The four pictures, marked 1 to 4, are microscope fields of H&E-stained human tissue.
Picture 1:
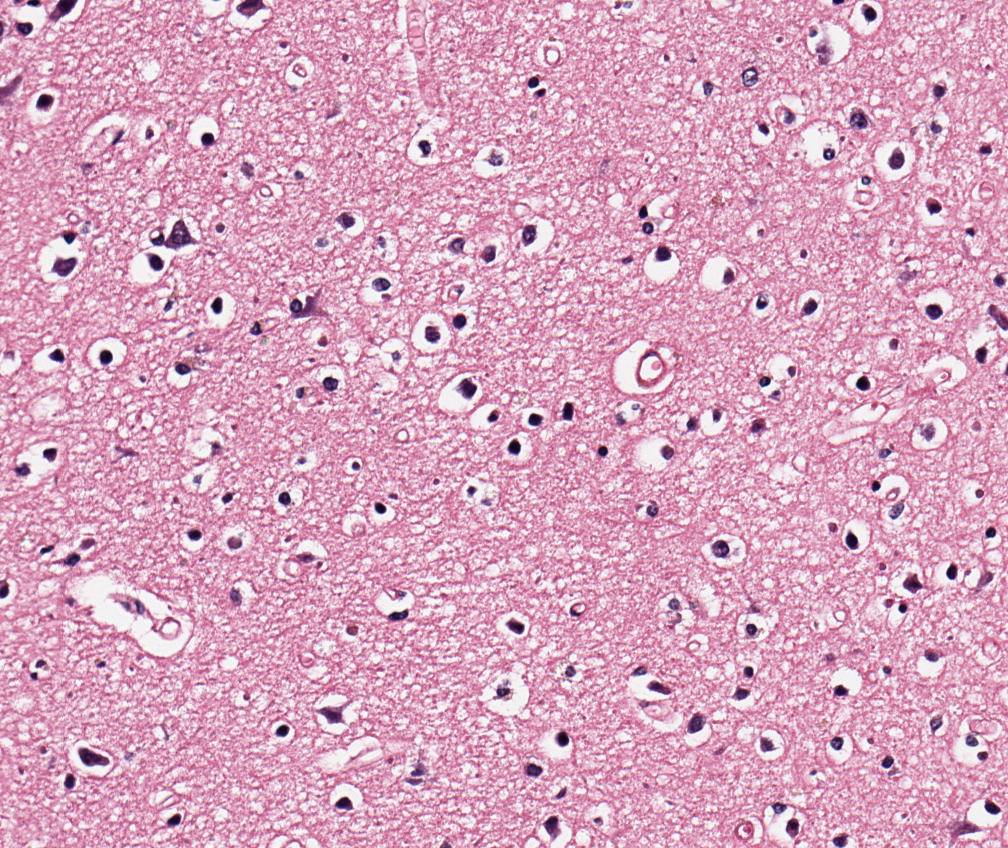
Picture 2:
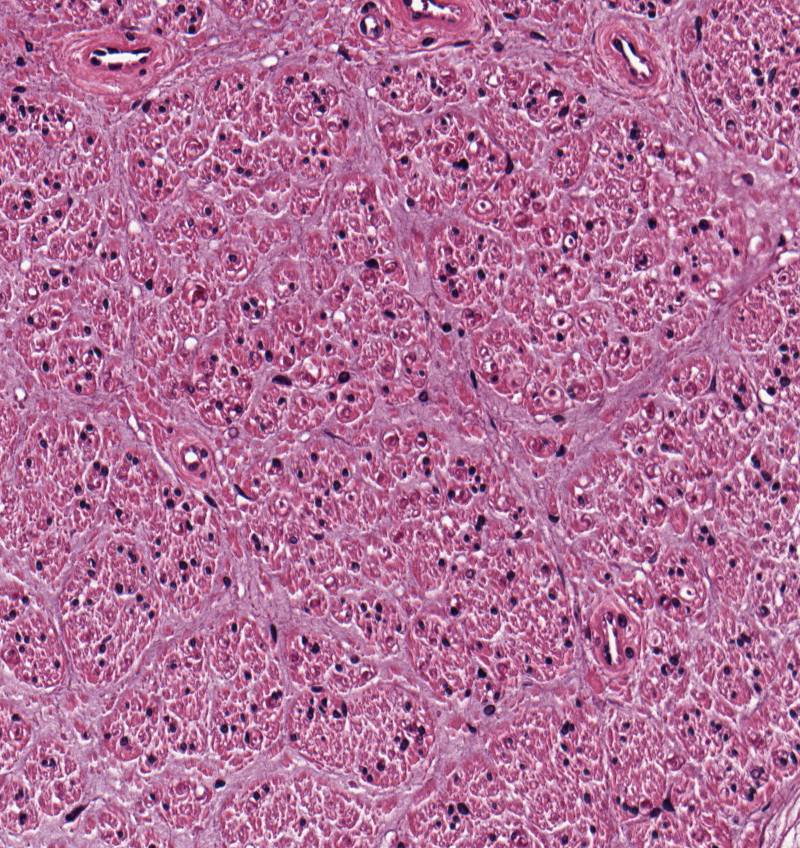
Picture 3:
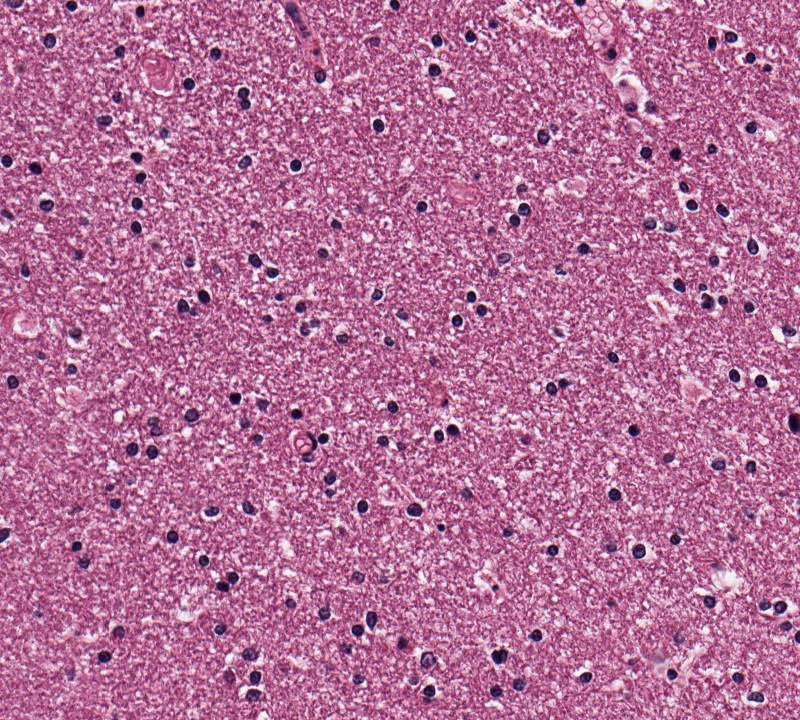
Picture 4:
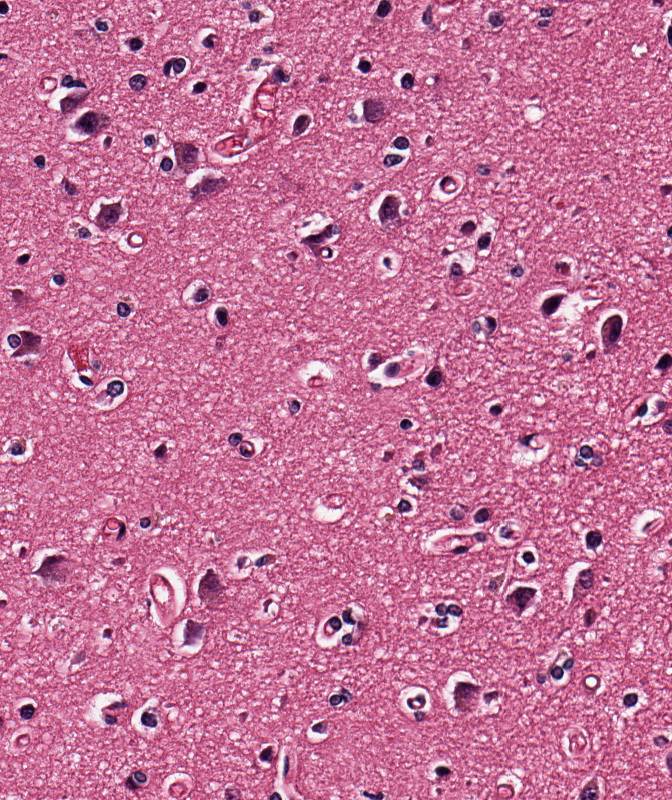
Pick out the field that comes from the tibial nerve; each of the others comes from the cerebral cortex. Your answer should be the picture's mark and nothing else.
2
